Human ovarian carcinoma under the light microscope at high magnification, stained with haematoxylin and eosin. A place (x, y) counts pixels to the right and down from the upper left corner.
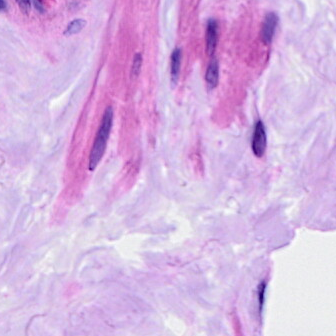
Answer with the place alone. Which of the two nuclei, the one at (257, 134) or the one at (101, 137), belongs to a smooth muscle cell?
(101, 137)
